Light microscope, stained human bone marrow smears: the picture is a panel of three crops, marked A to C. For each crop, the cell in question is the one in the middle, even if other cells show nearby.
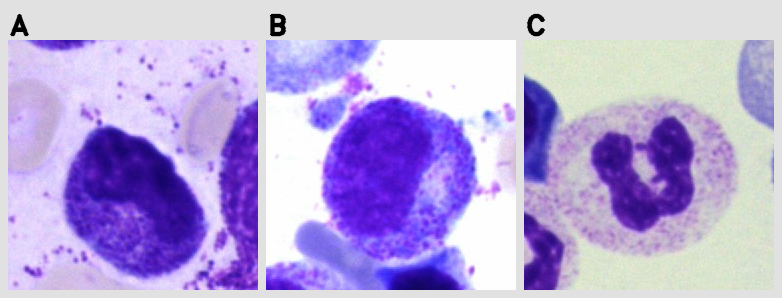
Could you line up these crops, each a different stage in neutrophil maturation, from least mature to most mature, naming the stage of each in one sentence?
In terms of maturity, from least to most, the order is crop A (a promyelocyte), crop B (a myelocyte) and crop C (a segmented neutrophil).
